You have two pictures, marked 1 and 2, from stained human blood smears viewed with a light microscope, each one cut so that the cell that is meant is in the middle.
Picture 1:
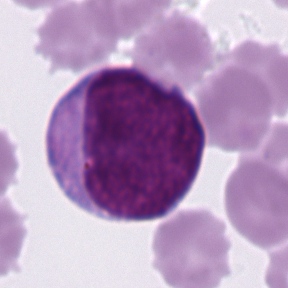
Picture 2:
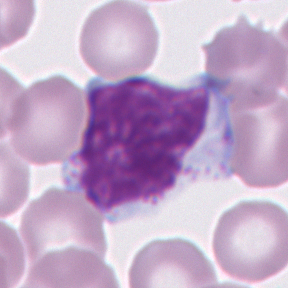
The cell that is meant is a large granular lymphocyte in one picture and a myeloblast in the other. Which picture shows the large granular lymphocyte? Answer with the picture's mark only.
2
